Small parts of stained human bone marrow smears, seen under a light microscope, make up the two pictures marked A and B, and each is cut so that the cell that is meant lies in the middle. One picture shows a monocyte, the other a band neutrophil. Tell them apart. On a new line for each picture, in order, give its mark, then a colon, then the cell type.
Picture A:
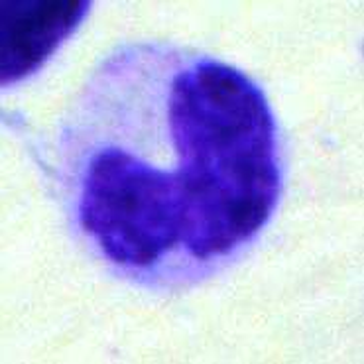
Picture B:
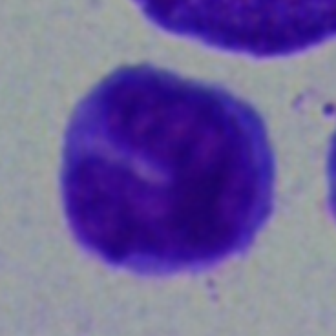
A: band neutrophil
B: monocyte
